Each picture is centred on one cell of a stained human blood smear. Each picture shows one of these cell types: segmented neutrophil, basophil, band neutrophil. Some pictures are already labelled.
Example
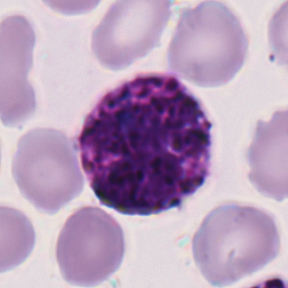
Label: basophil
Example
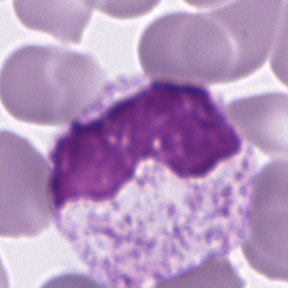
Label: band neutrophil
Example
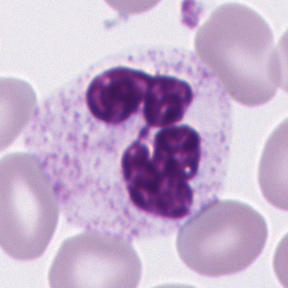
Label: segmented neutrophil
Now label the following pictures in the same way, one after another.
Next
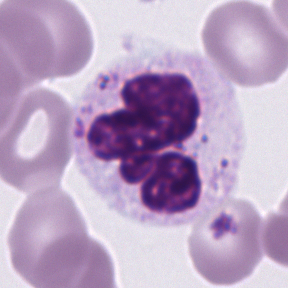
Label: segmented neutrophil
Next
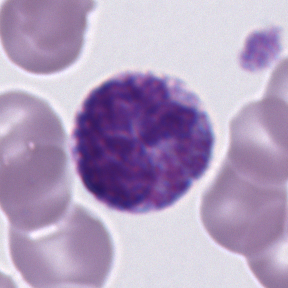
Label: basophil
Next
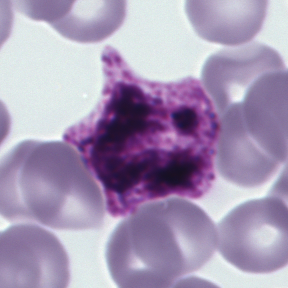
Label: basophil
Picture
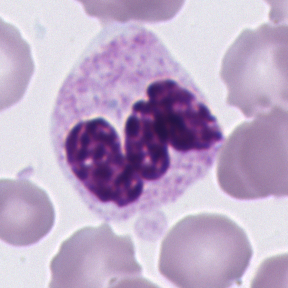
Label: segmented neutrophil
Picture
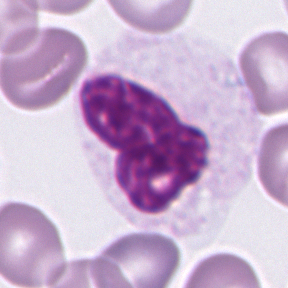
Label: segmented neutrophil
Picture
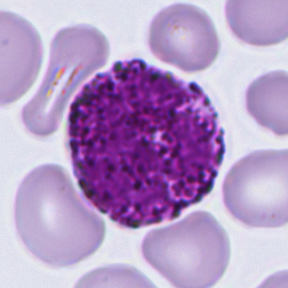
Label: basophil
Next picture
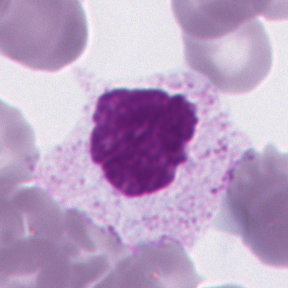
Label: segmented neutrophil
